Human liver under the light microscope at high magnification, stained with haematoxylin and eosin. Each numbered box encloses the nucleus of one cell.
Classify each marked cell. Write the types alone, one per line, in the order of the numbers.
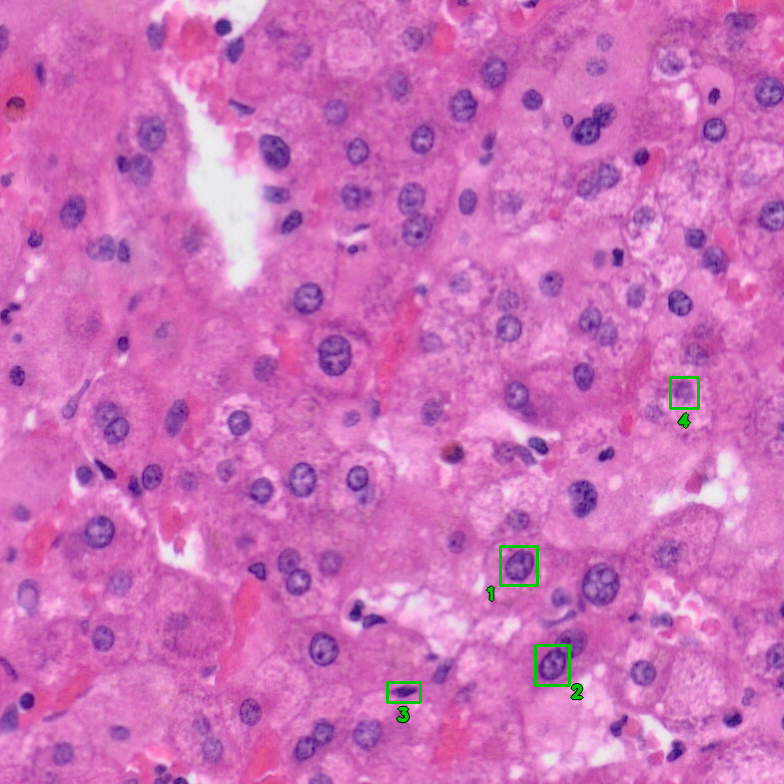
hepatocyte
hepatocyte
fibroblast or stellate cell
hepatocyte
